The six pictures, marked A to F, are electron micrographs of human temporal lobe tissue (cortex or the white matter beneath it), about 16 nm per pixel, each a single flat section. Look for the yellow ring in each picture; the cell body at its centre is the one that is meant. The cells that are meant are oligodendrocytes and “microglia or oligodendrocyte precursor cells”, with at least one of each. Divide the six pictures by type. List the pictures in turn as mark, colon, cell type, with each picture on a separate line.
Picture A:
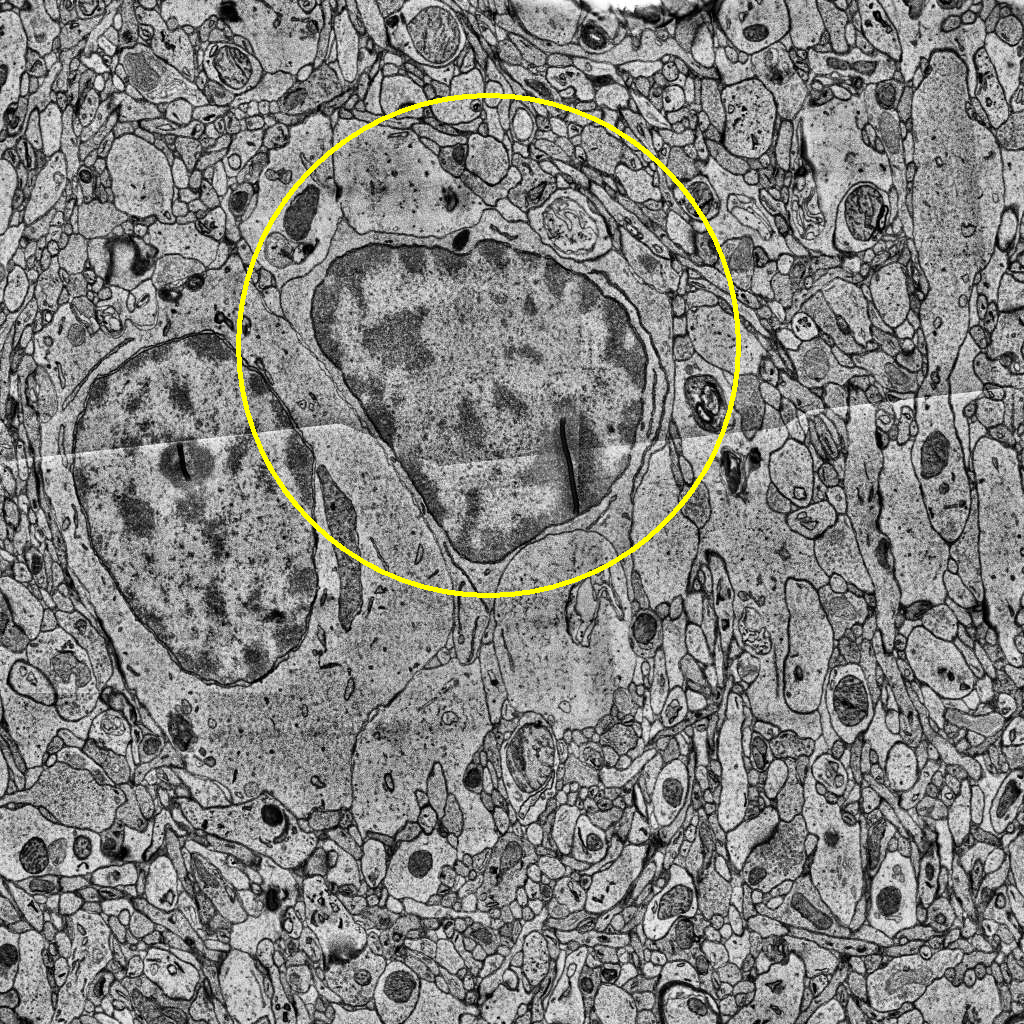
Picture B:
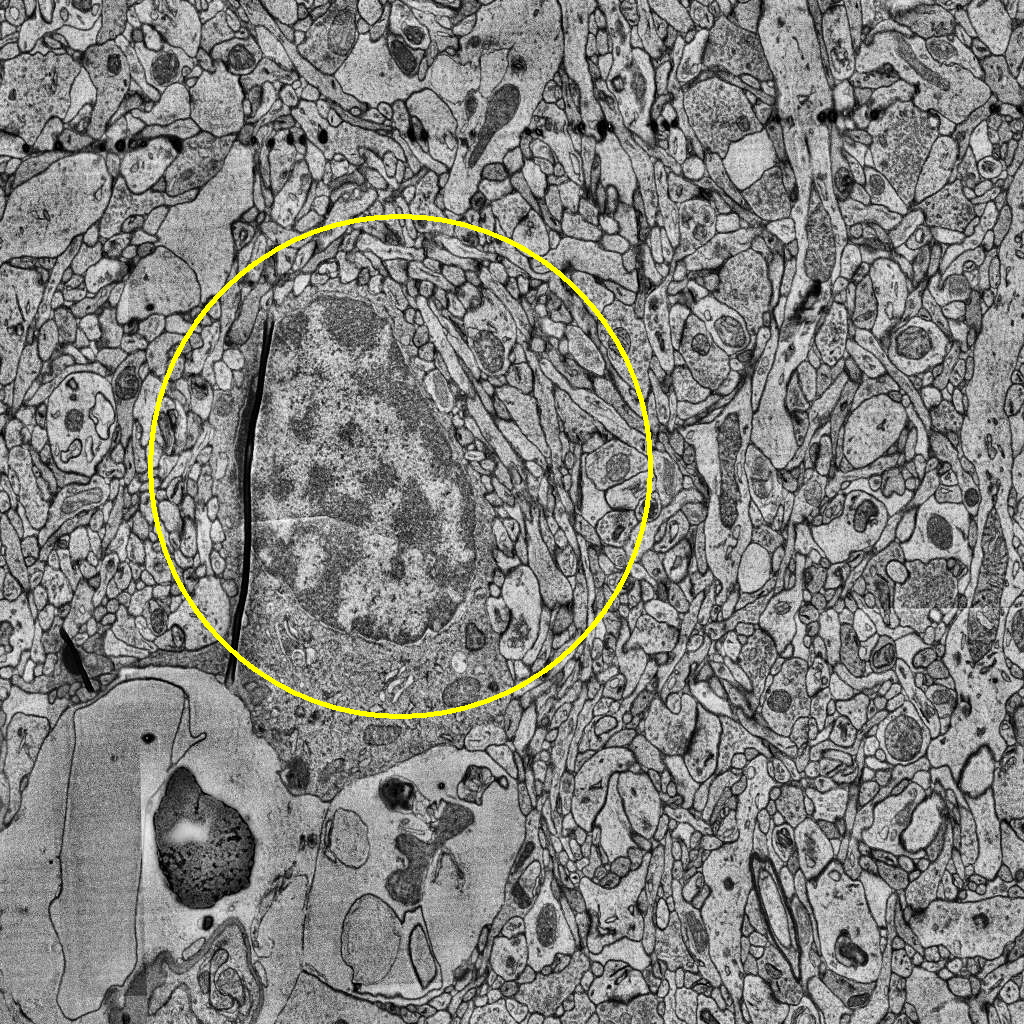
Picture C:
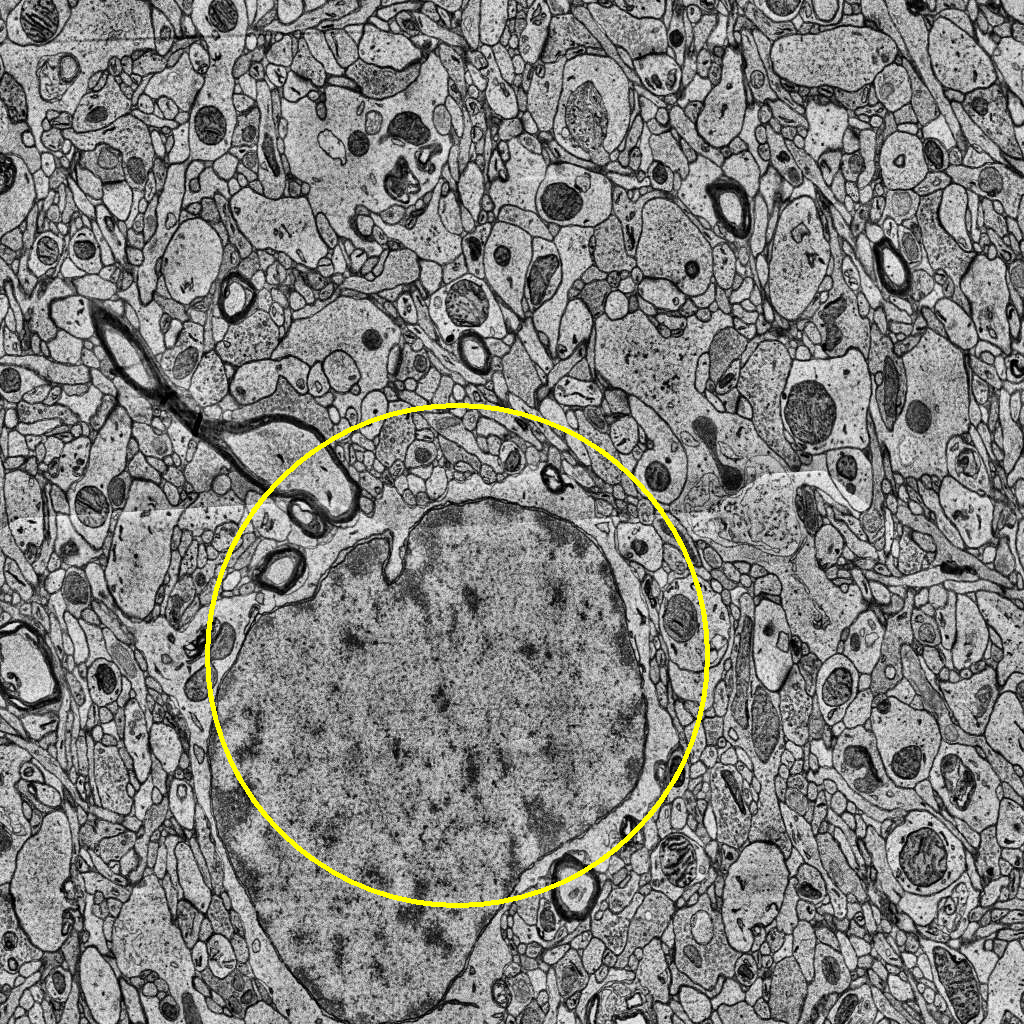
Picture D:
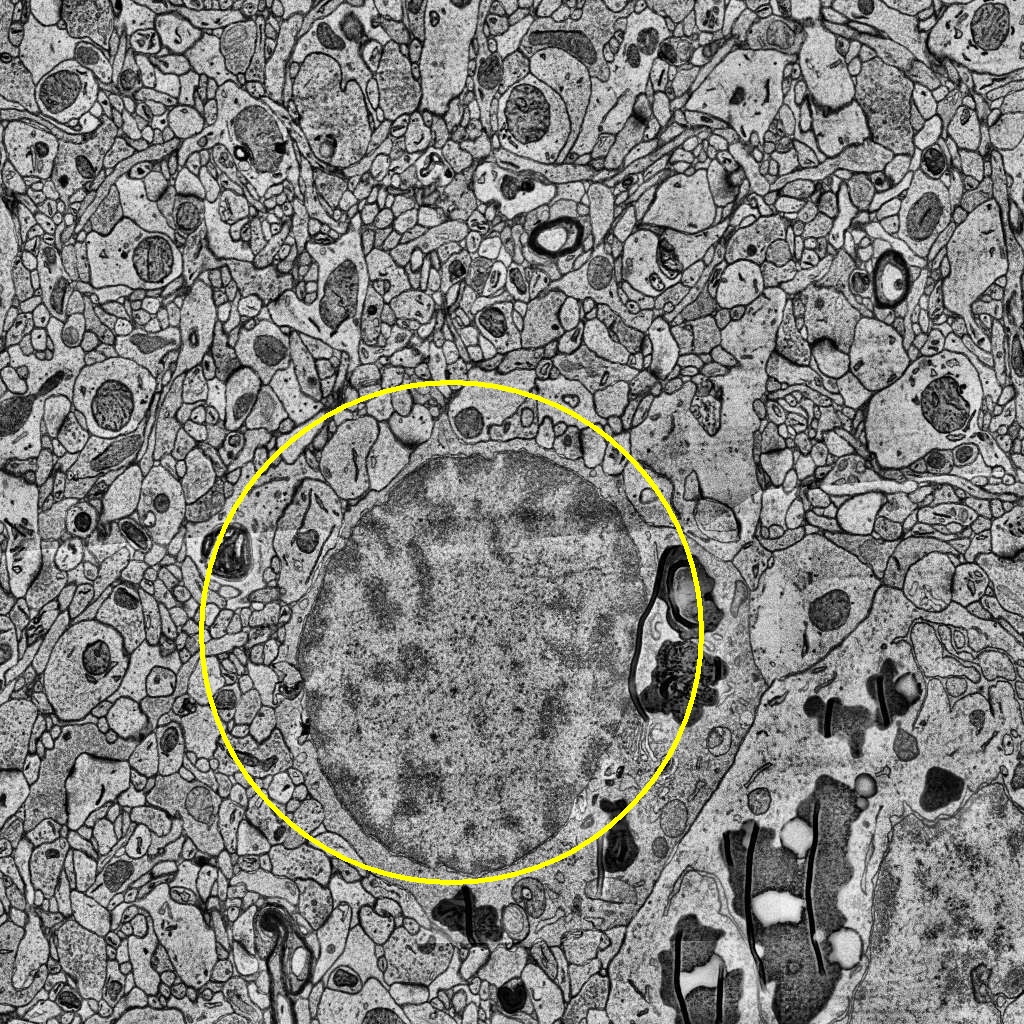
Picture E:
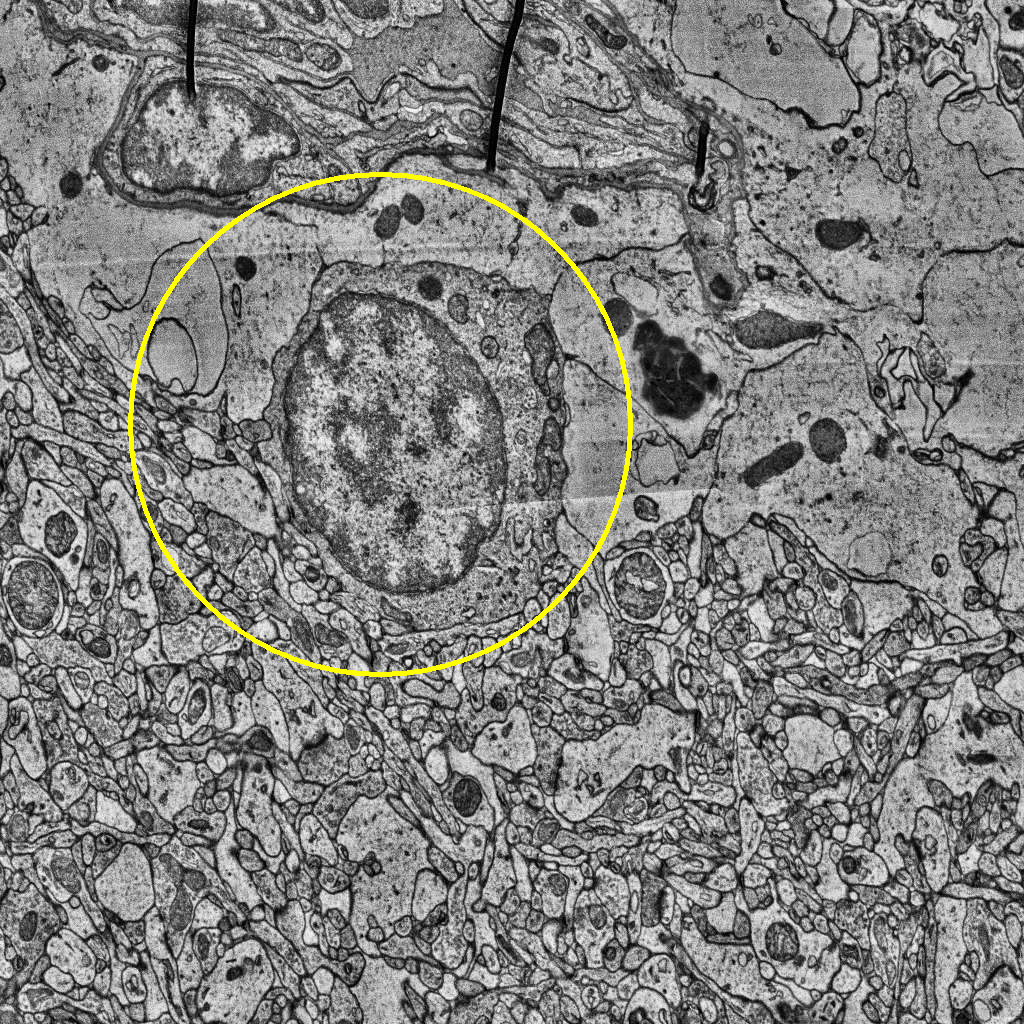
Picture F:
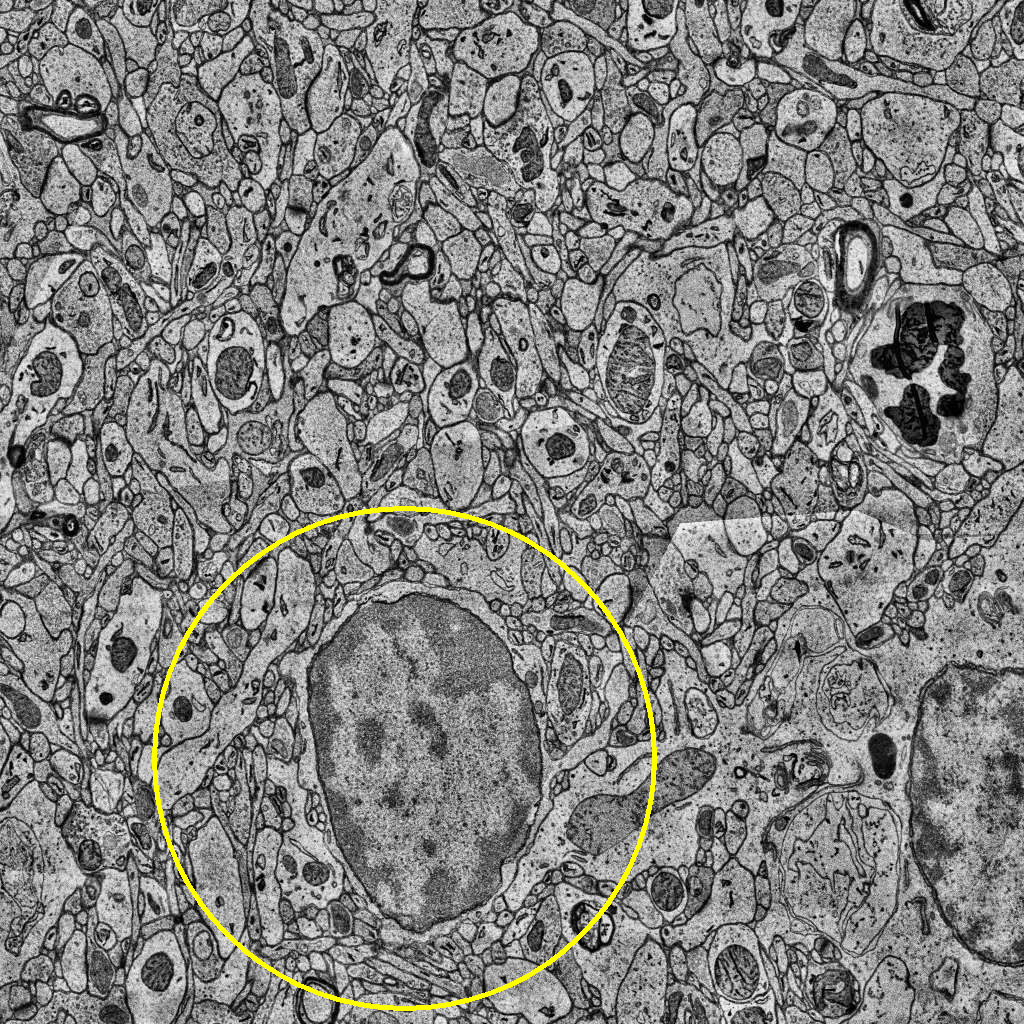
A: microglia or oligodendrocyte precursor cell
B: oligodendrocyte
C: microglia or oligodendrocyte precursor cell
D: oligodendrocyte
E: oligodendrocyte
F: microglia or oligodendrocyte precursor cell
